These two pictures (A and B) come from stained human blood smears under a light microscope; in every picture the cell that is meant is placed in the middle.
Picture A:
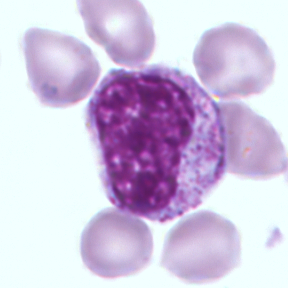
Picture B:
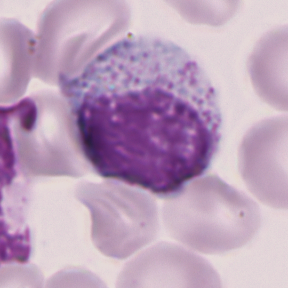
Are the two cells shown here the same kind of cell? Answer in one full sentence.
Yes, they are the same type: both are metamyelocytes.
